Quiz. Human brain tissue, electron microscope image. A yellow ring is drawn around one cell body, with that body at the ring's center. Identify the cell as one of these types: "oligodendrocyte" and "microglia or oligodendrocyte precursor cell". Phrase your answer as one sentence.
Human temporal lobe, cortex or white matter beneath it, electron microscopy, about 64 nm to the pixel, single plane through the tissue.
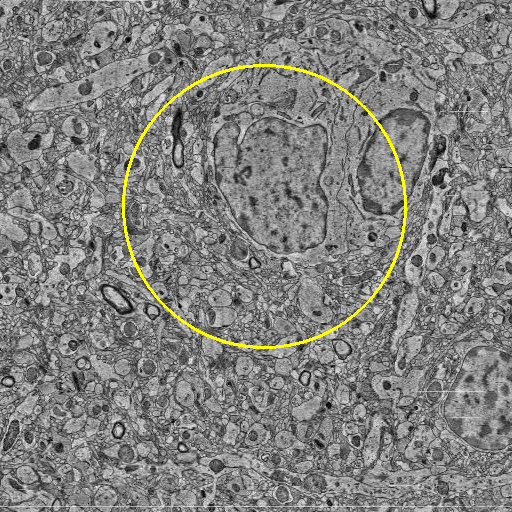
At the center of the ring sits a microglial cell or oligodendrocyte precursor cell.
